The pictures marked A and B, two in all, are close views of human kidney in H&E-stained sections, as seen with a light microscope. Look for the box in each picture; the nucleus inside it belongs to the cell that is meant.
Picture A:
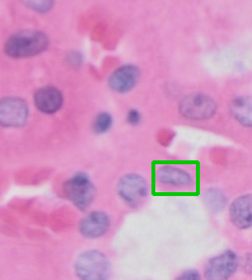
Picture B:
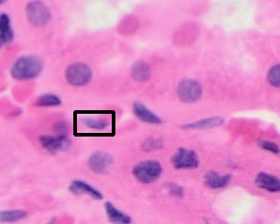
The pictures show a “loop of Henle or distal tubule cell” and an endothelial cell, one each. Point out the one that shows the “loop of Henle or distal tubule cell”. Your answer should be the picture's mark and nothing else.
A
